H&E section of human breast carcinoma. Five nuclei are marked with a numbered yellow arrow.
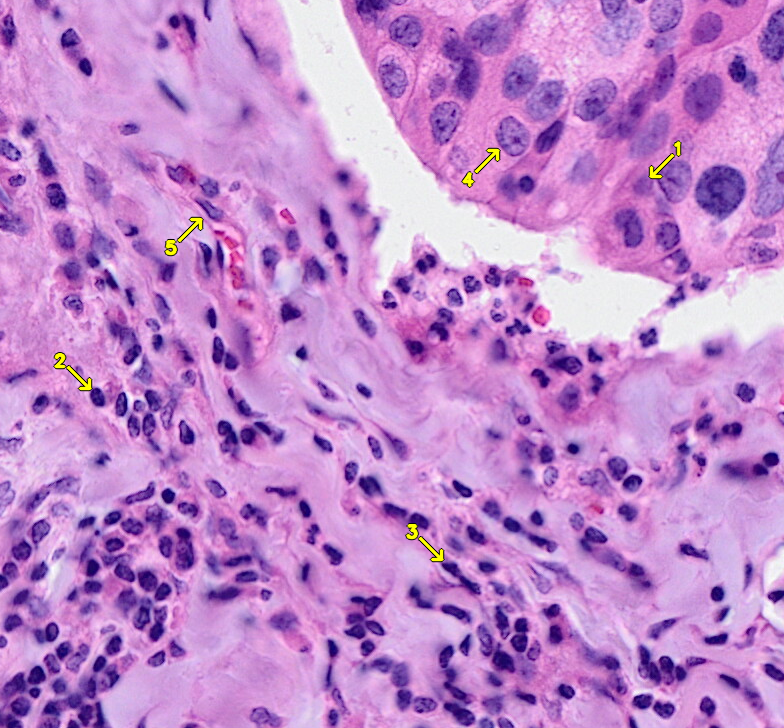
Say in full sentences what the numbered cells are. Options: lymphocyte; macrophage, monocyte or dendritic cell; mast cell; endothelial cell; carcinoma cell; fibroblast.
Cell 1 is a carcinoma cell, cell 2 is a lymphocyte, cell 3 is a lymphocyte, cell 4 is a carcinoma cell and cell 5 is an endothelial cell.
